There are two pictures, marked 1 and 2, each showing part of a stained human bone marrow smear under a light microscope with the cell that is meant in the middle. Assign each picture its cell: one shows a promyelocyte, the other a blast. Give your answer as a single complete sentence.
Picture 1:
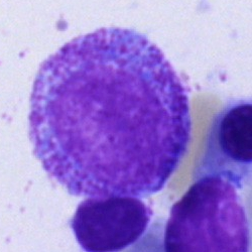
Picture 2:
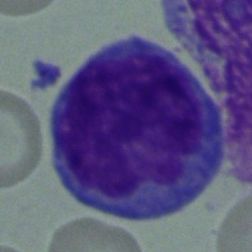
In picture 1 the cell is a promyelocyte; in picture 2, a blast.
